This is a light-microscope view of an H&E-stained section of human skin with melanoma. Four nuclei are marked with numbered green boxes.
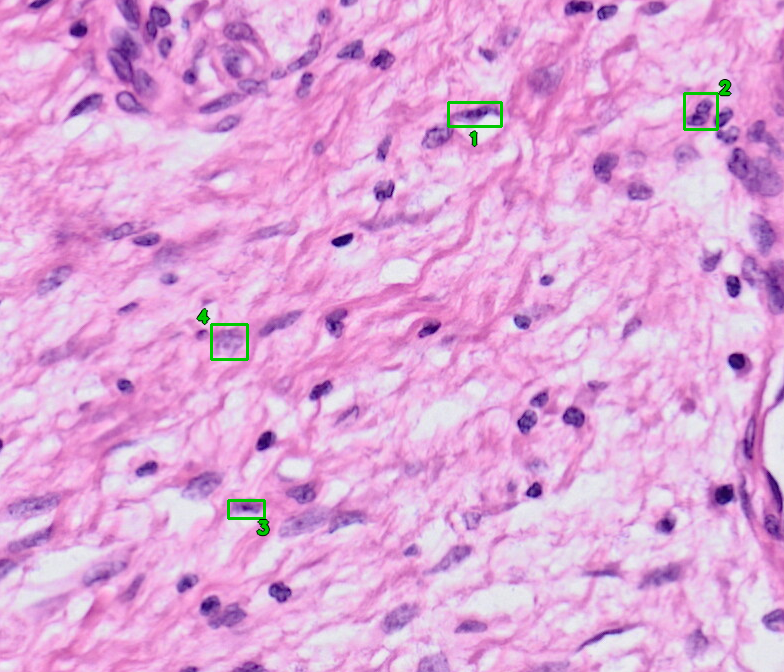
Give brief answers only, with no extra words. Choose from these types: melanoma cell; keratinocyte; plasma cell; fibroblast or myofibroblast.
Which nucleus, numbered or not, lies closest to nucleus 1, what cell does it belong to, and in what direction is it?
a fibroblast or myofibroblast below and to the left of nucleus 1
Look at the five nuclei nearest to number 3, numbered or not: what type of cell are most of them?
fibroblast or myofibroblast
